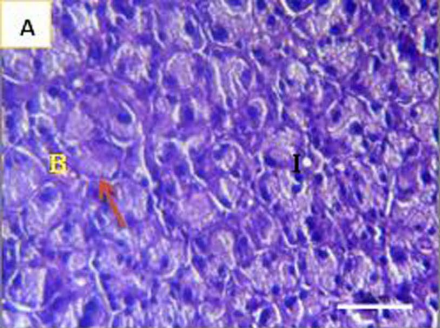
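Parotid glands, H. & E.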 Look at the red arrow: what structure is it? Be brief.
Normal acini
